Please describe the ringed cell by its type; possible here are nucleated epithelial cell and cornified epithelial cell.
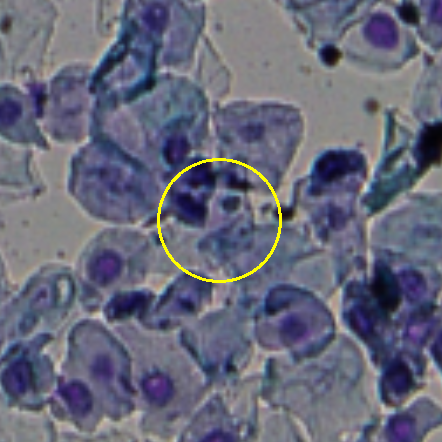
The yellow ring marks a cornified epithelial cell.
